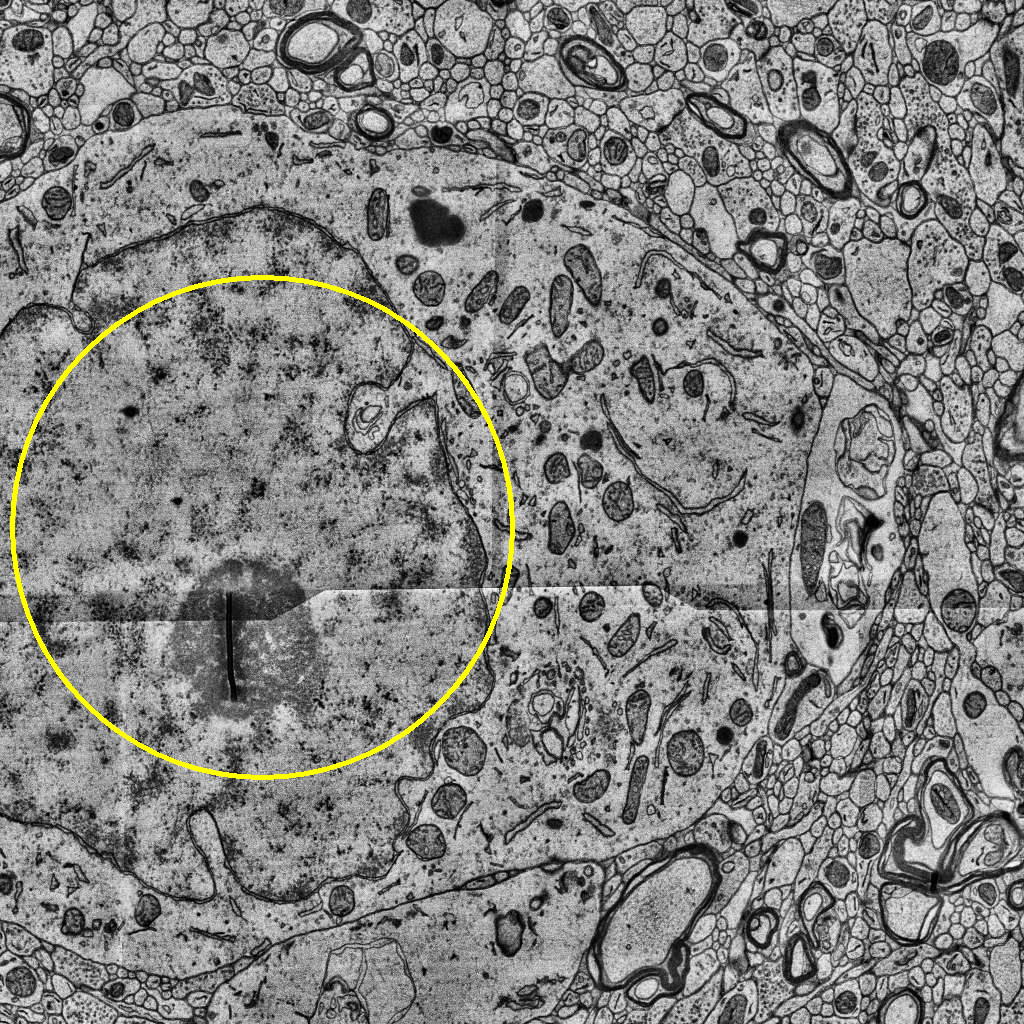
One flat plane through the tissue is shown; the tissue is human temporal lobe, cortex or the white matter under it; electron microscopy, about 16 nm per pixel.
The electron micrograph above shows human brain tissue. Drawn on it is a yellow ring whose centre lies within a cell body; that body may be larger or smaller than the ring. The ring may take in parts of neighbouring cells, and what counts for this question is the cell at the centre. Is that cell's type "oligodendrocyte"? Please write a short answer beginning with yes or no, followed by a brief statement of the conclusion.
No, its type is another one.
